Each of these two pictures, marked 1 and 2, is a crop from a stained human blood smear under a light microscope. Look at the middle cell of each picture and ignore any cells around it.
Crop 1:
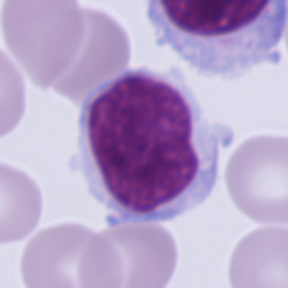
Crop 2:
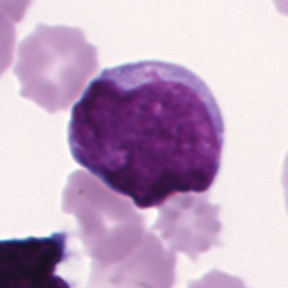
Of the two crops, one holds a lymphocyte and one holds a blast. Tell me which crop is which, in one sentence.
The cell in crop 1 is a lymphocyte, whereas the cell in crop 2 is a blast.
